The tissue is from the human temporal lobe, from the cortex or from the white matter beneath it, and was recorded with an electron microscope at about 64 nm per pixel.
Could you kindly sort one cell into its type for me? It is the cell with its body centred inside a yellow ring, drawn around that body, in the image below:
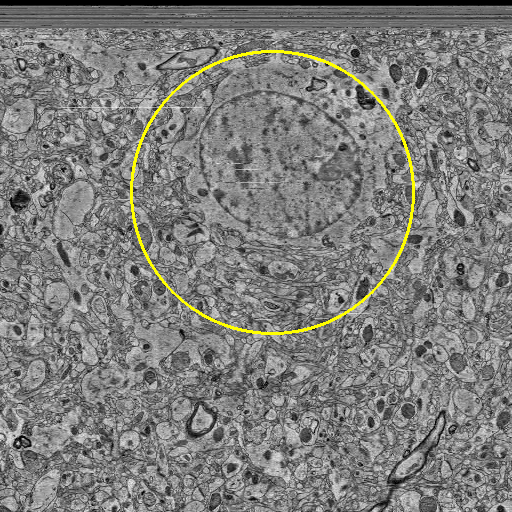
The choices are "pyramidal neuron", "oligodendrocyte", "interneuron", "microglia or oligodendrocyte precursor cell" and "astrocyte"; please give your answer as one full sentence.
The cell whose body lies centred in the yellow ring here is an astrocyte.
